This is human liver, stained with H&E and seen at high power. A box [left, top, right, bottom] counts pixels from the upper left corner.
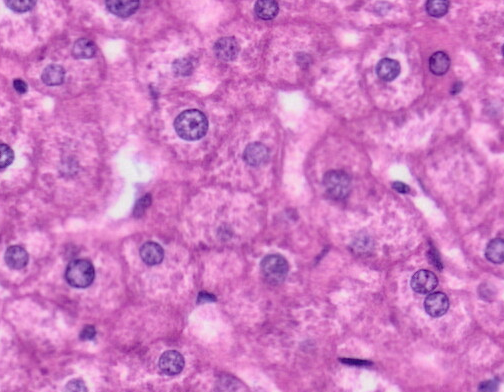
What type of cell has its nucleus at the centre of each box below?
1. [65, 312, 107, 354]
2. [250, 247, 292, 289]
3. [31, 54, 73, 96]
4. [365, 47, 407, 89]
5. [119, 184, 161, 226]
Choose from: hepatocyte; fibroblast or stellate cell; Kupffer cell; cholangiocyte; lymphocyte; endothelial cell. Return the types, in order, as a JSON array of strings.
["endothelial cell", "hepatocyte", "hepatocyte", "hepatocyte", "Kupffer cell"]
